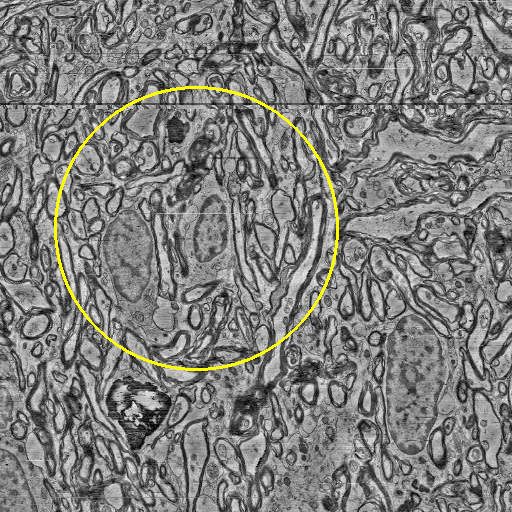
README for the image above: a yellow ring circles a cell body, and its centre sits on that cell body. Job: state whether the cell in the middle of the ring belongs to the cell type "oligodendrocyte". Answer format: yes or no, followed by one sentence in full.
No, in the image, the ring's central cell belongs to another type.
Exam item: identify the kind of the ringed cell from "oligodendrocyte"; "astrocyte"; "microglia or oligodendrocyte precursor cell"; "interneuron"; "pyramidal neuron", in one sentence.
Instead, the ringed cell here is a microglial cell or oligodendrocyte precursor cell.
